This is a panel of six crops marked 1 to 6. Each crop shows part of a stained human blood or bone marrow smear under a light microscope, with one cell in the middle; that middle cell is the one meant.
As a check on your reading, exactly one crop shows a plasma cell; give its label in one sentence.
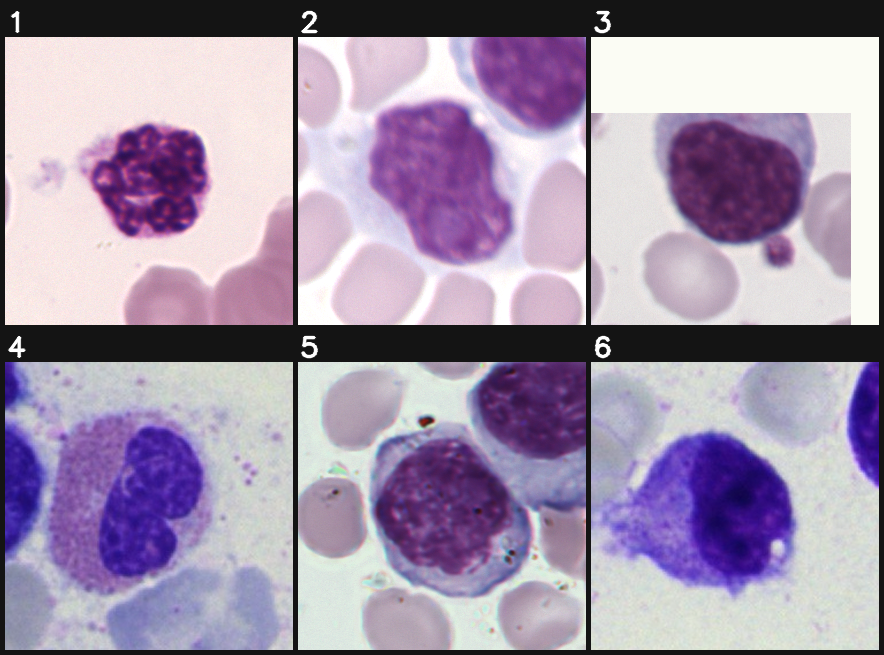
Crop 5 alone, of all the crops, shows a plasma cell.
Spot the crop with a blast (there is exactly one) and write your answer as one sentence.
Crop 2 is identified as the crop showing a blast.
